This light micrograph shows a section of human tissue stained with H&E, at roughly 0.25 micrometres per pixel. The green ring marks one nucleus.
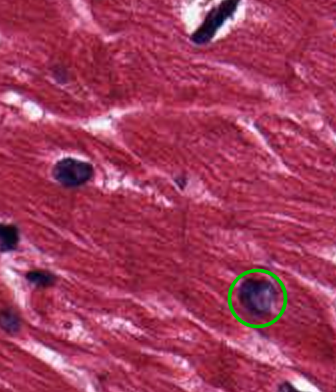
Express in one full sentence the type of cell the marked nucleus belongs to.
The marked nucleus forms part of a cardiomyocyte.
